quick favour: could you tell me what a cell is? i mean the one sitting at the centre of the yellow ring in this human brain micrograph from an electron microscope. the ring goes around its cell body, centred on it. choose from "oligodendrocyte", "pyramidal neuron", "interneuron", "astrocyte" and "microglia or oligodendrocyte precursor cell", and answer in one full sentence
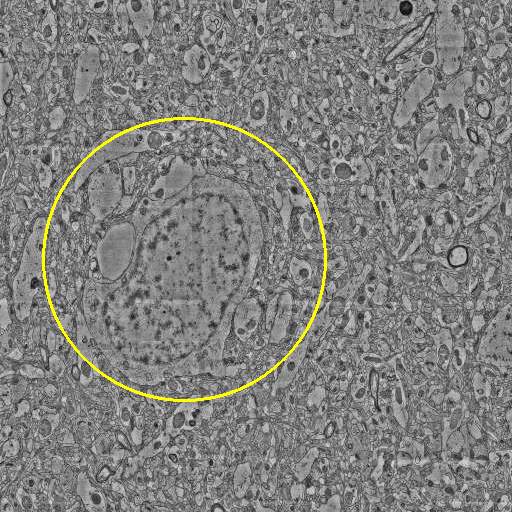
That's an interneuron, the cell sitting at the centre of the yellow ring.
